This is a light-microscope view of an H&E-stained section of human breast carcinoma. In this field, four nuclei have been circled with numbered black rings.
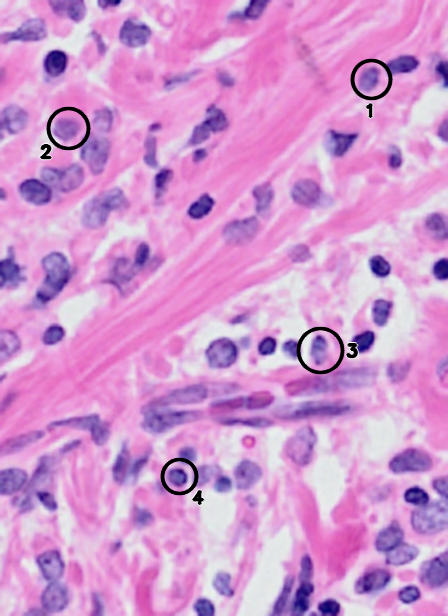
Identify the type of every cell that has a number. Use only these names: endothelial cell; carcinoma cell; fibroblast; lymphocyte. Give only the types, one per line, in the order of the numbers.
lymphocyte
carcinoma cell
lymphocyte
lymphocyte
